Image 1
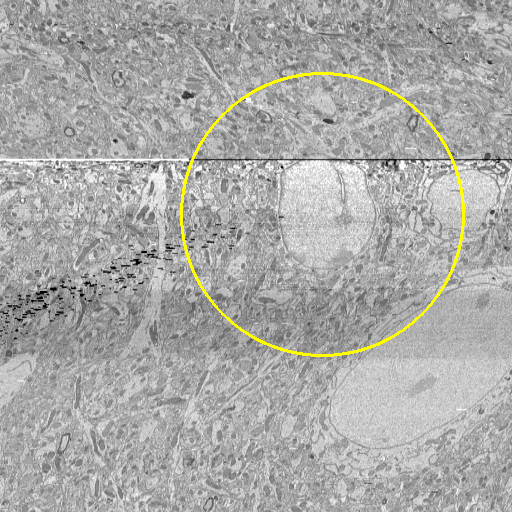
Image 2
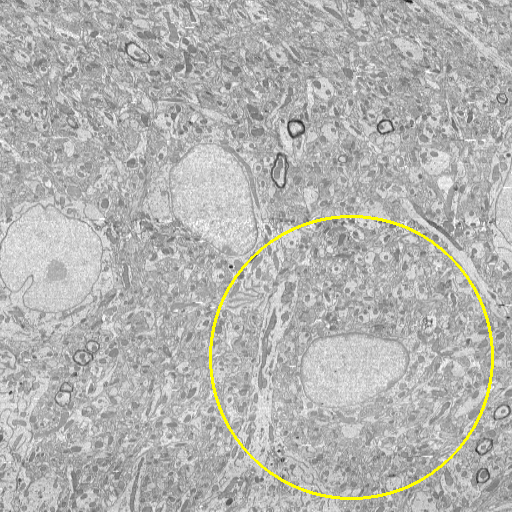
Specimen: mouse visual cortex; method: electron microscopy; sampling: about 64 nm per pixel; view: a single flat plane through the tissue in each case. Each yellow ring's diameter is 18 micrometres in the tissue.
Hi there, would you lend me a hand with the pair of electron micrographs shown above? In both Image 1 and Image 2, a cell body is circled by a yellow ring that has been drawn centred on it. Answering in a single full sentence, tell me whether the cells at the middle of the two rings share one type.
Yes, the ringed cells in Image 1 and Image 2 share one type.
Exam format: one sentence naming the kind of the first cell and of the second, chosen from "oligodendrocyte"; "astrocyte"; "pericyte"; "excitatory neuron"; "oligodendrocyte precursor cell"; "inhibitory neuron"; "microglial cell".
In each of the two pictures, the ringed cell is an astrocyte.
